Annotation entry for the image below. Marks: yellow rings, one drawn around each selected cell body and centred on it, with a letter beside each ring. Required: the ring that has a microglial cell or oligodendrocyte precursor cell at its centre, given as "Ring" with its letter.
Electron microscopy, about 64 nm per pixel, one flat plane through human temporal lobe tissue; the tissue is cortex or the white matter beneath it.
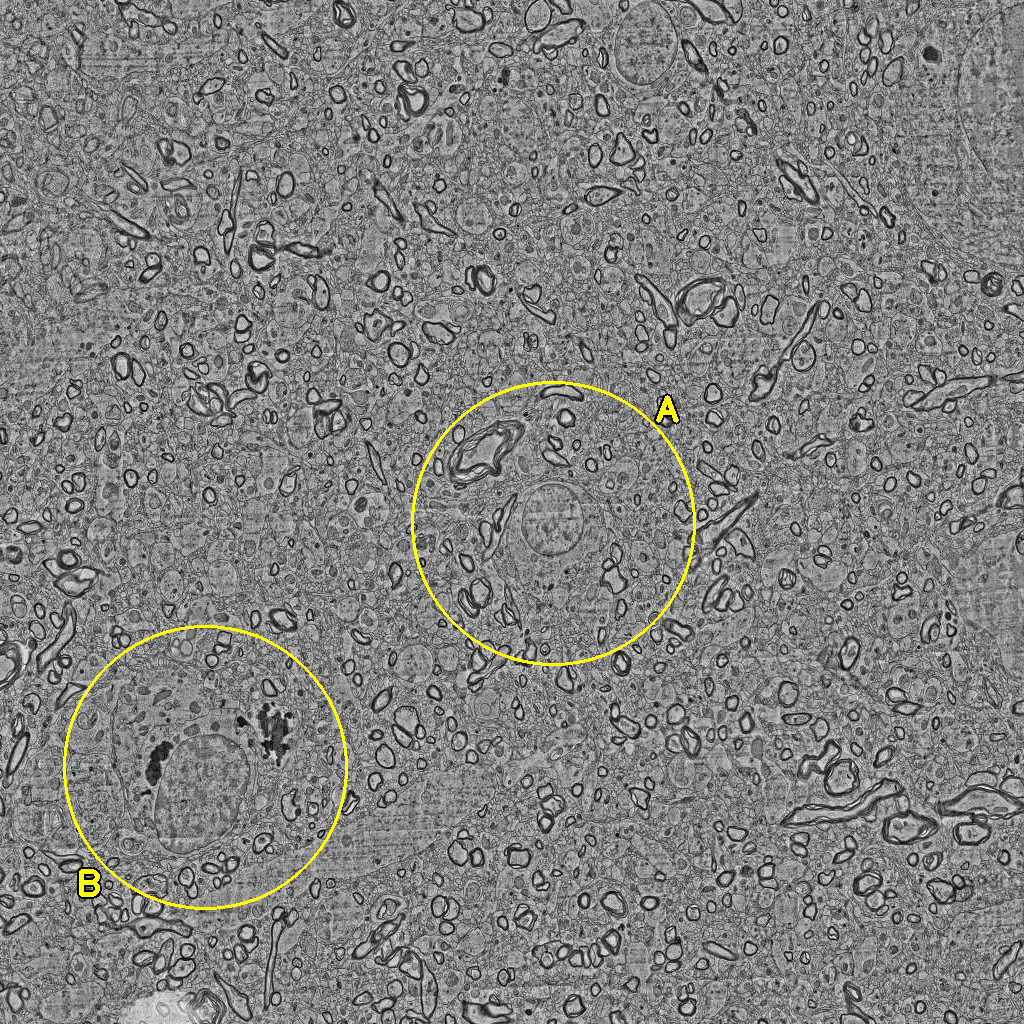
Ring A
